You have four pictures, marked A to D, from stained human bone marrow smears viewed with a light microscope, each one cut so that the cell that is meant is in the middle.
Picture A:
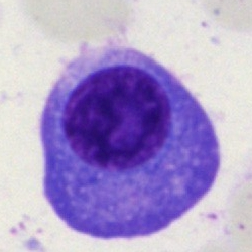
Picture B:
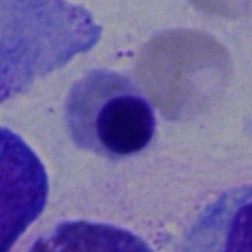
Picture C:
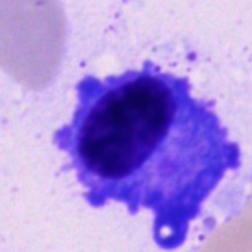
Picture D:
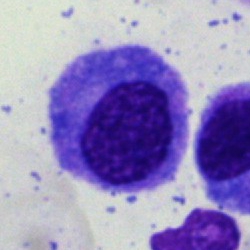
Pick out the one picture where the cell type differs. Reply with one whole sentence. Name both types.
The different one is picture B; it shows an erythroblast, whereas all the others show plasma cells.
